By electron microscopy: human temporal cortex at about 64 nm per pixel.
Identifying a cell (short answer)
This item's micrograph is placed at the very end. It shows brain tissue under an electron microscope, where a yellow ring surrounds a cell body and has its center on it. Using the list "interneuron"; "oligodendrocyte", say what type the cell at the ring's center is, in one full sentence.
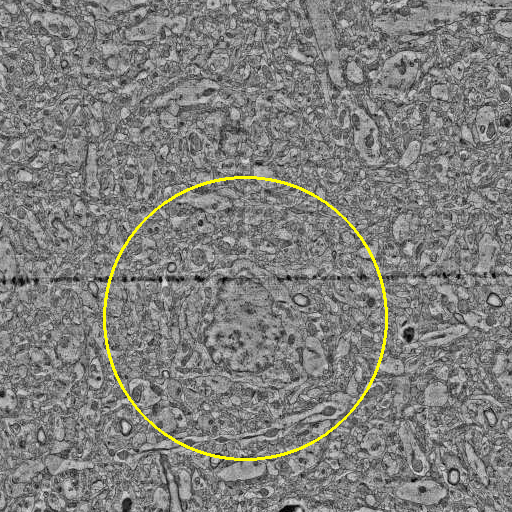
This picture shows an interneuron at the center of the yellow ring drawn on it.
